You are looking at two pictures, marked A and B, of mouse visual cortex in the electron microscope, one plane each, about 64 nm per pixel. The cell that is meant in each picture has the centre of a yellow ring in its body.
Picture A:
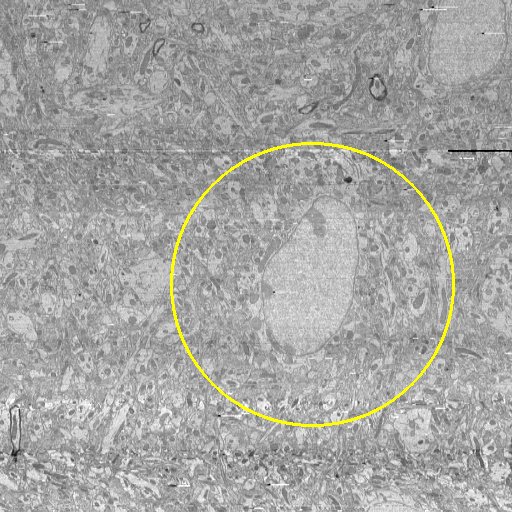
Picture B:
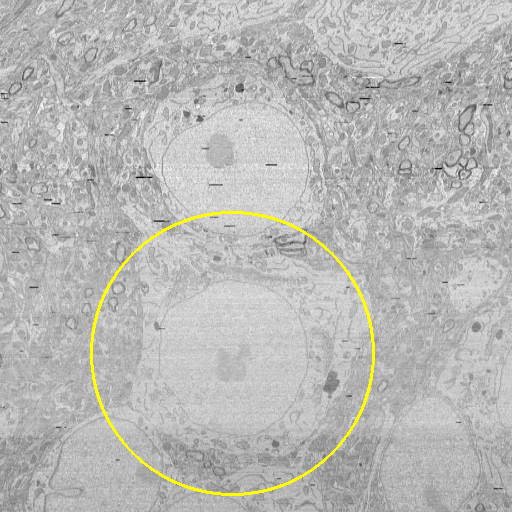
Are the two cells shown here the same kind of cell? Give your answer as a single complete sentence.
No, picture A shows an astrocyte and picture B shows an excitatory neuron.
